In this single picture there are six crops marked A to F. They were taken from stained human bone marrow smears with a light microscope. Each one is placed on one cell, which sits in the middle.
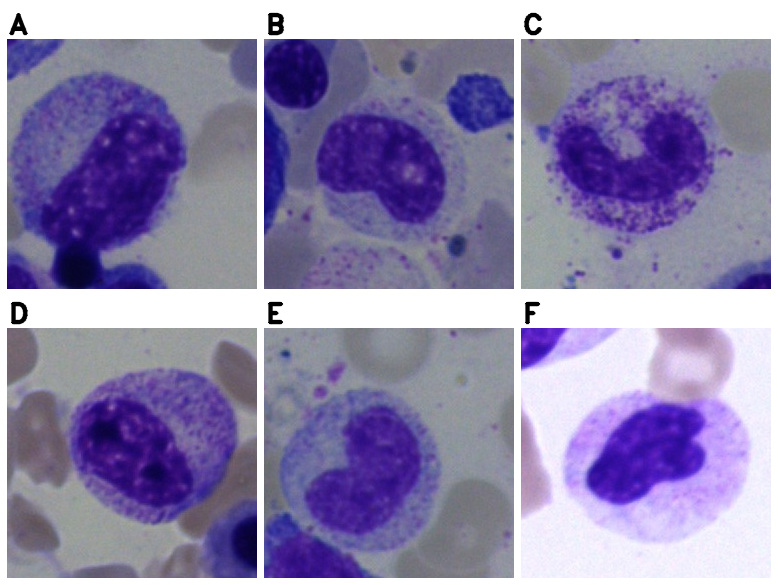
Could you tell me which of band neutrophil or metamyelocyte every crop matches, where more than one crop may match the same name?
A: metamyelocyte
B: metamyelocyte
C: band neutrophil
D: metamyelocyte
E: metamyelocyte
F: band neutrophil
